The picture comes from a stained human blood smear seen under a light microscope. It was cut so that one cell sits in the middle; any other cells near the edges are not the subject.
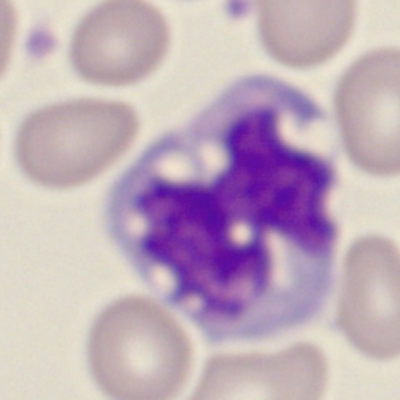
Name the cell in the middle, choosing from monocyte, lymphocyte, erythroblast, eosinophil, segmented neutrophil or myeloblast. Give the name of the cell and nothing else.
monocyte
